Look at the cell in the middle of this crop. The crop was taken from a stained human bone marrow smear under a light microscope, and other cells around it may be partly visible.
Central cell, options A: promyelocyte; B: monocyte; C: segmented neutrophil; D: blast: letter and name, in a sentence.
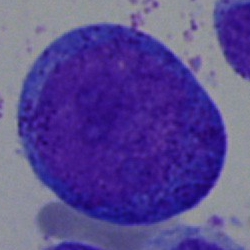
Option A is correct here, and the cell in the middle is a promyelocyte.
